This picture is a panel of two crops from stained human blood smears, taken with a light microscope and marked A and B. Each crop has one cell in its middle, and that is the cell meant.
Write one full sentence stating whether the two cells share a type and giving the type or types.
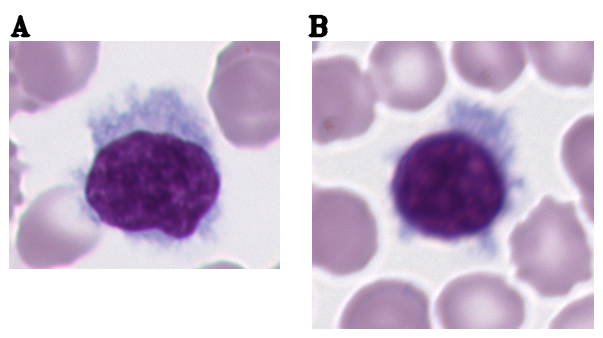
Yes, both crops show hairy cells, the one and the other.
